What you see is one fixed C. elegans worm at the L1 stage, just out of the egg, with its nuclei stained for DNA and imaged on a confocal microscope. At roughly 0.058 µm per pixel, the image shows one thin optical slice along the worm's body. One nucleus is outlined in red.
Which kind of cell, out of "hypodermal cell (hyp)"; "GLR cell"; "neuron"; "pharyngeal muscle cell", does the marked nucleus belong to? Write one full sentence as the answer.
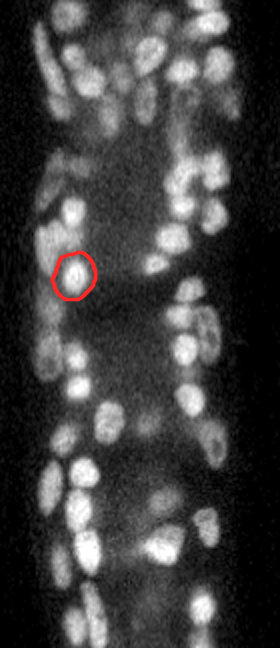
The marked nucleus belongs to a GLR cell.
